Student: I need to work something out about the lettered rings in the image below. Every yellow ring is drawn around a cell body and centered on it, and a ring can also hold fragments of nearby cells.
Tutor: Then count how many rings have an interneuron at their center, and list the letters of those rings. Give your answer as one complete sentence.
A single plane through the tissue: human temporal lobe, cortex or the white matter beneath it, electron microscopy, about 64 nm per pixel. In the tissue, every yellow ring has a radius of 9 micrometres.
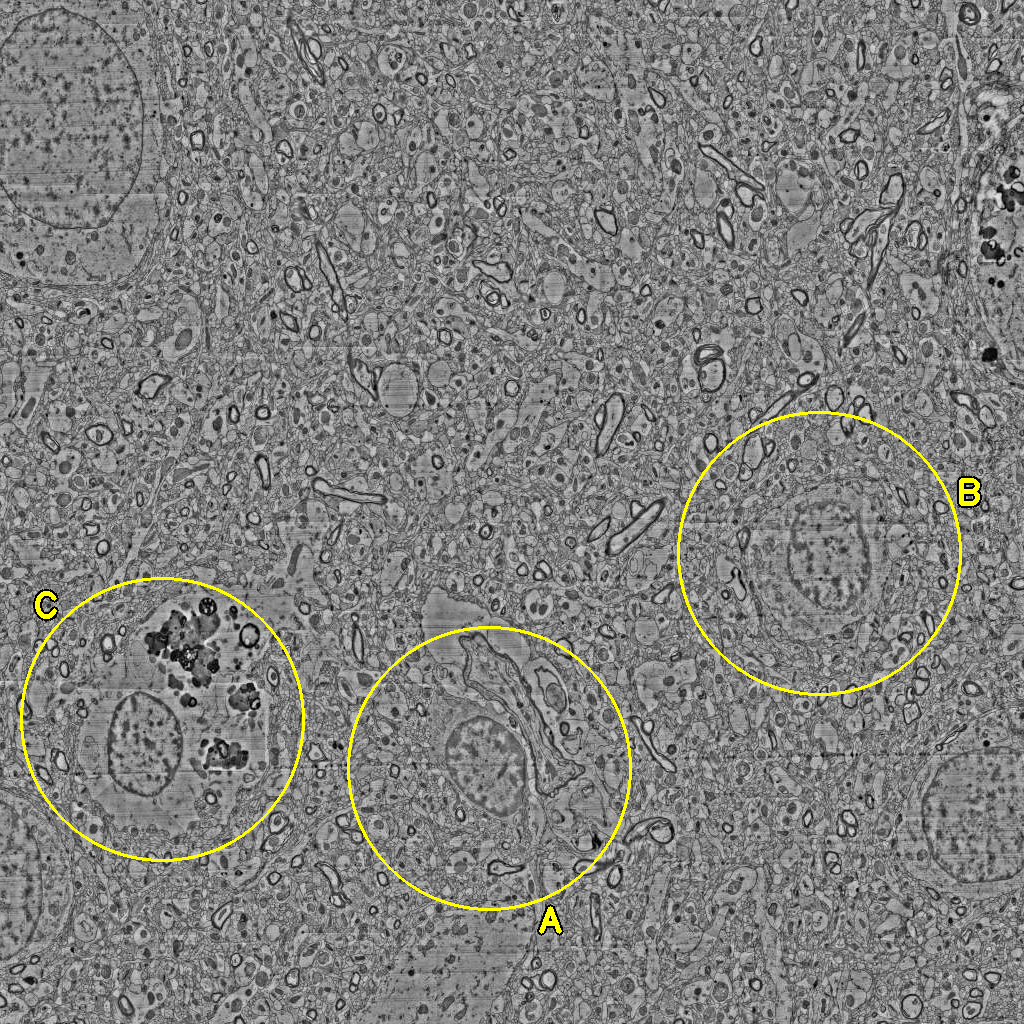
Only one ring, the ring lettered B, is centred on an interneuron.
